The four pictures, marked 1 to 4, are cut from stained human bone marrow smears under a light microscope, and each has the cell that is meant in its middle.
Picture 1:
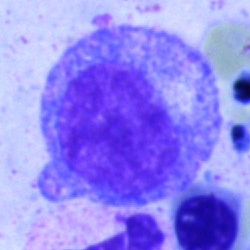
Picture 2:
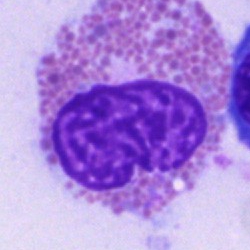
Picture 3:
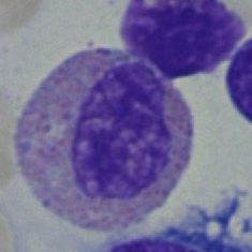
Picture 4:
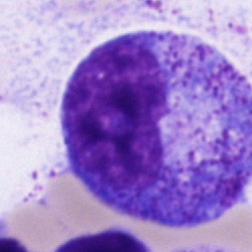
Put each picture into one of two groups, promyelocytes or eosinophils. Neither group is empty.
1: promyelocyte
2: eosinophil
3: eosinophil
4: promyelocyte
